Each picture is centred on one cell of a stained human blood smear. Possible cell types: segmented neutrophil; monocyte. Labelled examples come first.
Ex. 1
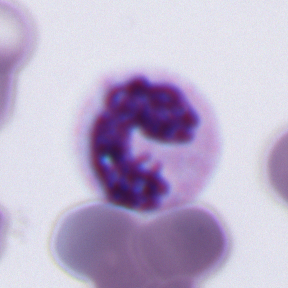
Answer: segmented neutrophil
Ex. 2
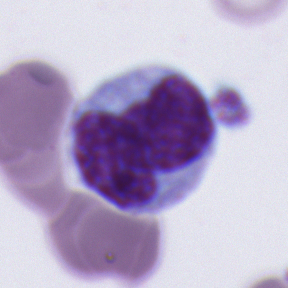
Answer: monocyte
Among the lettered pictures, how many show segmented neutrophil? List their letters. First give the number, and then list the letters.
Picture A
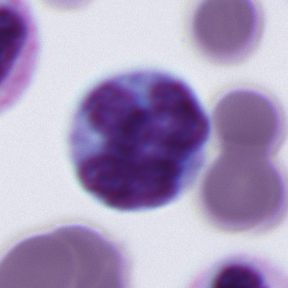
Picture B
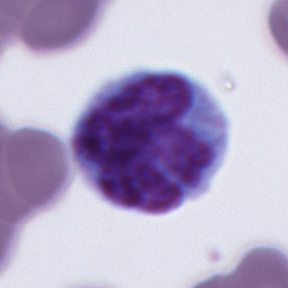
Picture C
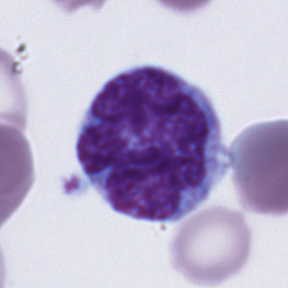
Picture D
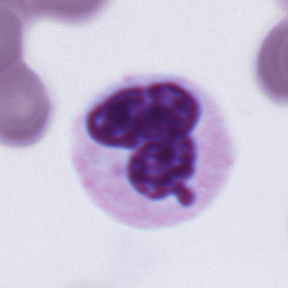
1, namely D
